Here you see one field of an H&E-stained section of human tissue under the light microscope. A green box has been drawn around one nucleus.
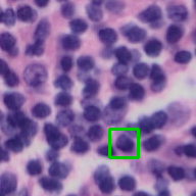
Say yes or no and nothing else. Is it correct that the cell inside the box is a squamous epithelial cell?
no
